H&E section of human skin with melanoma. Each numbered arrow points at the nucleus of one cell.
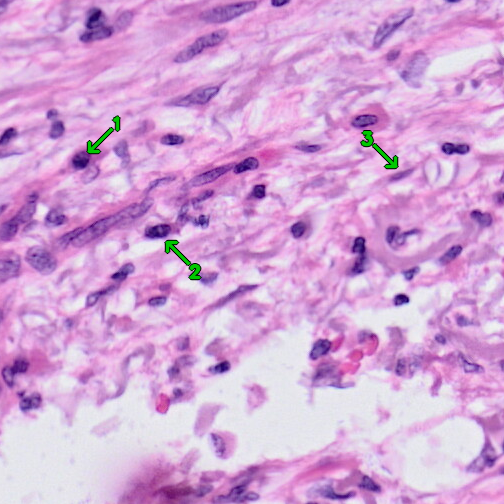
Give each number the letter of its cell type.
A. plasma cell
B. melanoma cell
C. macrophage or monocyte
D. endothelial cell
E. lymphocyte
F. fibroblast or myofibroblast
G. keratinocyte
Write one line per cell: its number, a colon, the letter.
1: A
2: A
3: F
